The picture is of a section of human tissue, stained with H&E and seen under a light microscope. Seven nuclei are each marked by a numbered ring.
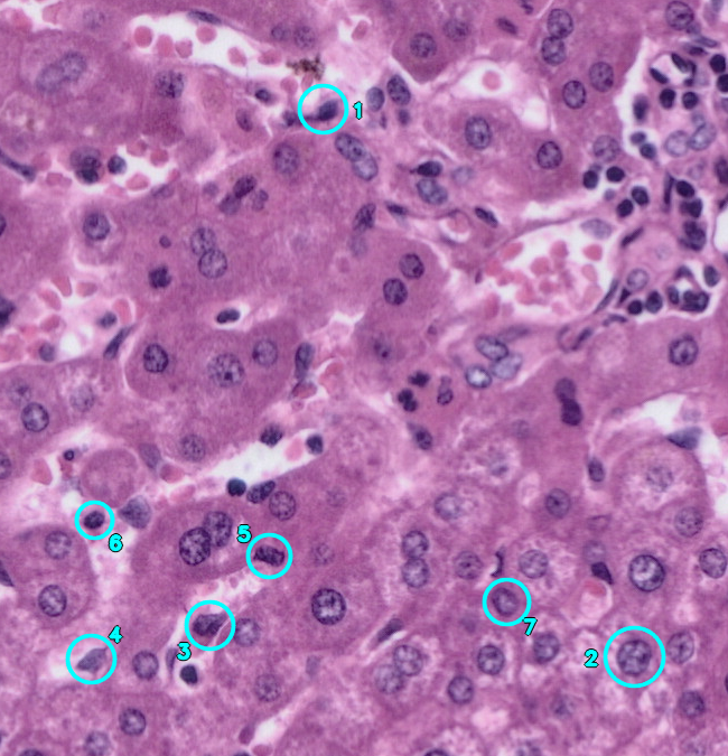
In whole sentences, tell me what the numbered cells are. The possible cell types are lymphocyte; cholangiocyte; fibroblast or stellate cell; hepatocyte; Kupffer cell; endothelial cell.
Cells 1 and 5 are fibroblasts or stellate cells. Cells 2 and 7 are hepatocytes. Cell 3 is a Kupffer cell. Cell 4 is an endothelial cell. Cell 6 is a lymphocyte.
